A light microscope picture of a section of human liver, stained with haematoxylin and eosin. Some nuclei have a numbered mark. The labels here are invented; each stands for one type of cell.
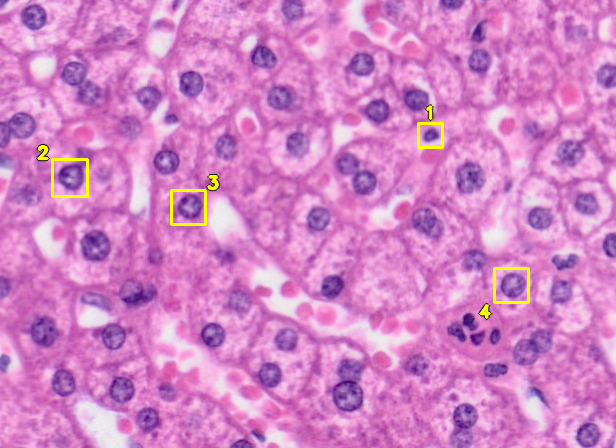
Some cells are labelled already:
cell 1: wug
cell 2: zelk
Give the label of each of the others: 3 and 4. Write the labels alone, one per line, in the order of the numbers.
zelk
zelk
